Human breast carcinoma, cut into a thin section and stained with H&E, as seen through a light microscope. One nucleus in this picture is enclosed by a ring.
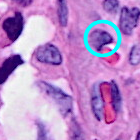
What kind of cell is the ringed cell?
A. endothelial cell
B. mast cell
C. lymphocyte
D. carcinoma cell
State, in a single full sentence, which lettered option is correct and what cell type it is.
Since the ringed cell is an endothelial cell, option A is correct.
